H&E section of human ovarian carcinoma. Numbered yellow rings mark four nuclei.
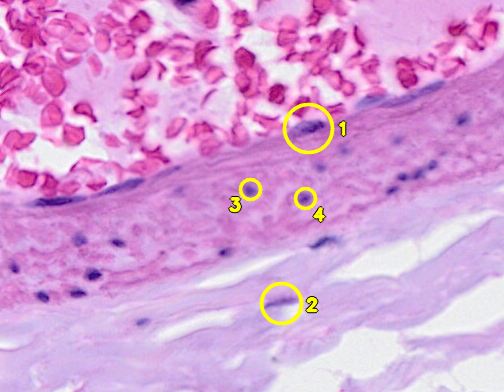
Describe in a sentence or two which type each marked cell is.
Cell 1 is an endothelial cell, cell 2 is a fibroblast, cell 3 is a smooth muscle cell and cell 4 is a smooth muscle cell.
